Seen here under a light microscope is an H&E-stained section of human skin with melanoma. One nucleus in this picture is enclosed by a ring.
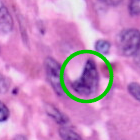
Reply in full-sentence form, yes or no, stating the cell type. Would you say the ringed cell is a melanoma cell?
Yes, as far as cell type goes, the ringed cell is a melanoma cell.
